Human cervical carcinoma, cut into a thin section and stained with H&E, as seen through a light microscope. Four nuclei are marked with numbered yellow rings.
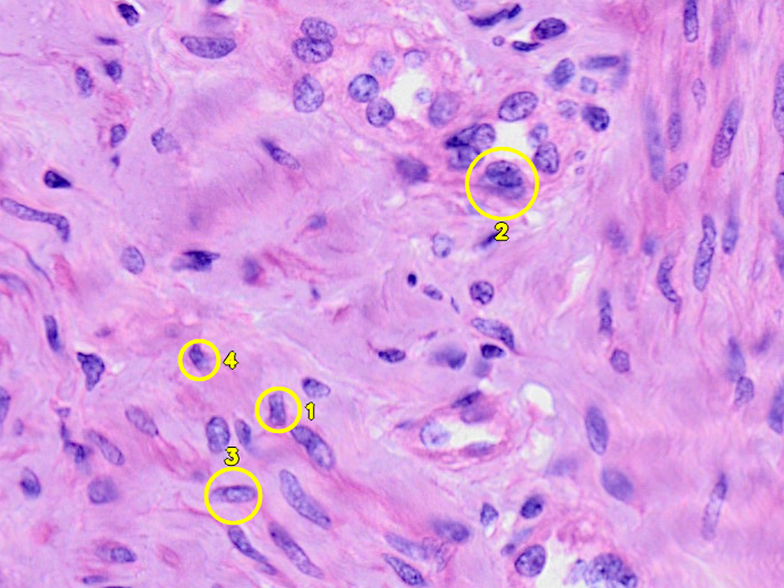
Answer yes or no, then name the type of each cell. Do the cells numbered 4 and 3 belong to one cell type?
Yes, both are smooth muscle cells.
